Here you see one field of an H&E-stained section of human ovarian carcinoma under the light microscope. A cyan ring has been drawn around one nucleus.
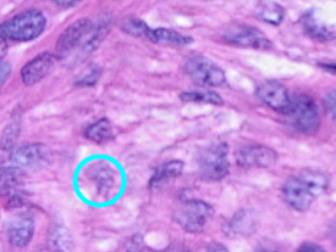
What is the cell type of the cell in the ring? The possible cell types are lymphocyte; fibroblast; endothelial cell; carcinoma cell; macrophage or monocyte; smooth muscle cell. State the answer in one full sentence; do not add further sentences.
Among the cells in this section, the cell in the ring is a fibroblast.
